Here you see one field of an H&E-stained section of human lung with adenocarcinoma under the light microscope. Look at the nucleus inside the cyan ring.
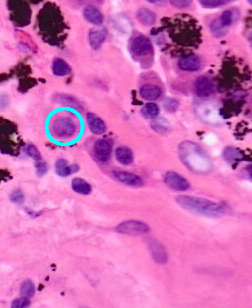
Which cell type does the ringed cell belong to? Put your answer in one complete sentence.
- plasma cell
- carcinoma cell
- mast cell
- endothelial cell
In the stained section, the ringed cell is a plasma cell.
